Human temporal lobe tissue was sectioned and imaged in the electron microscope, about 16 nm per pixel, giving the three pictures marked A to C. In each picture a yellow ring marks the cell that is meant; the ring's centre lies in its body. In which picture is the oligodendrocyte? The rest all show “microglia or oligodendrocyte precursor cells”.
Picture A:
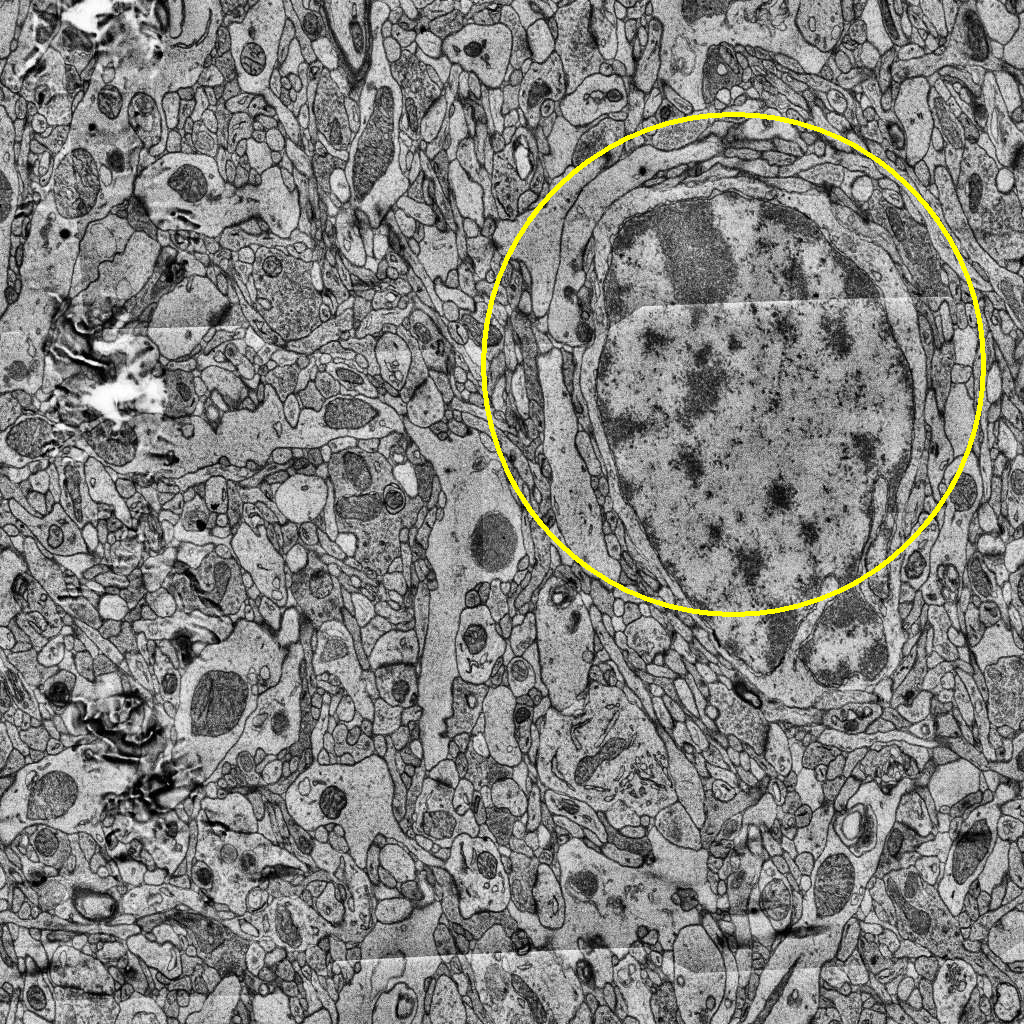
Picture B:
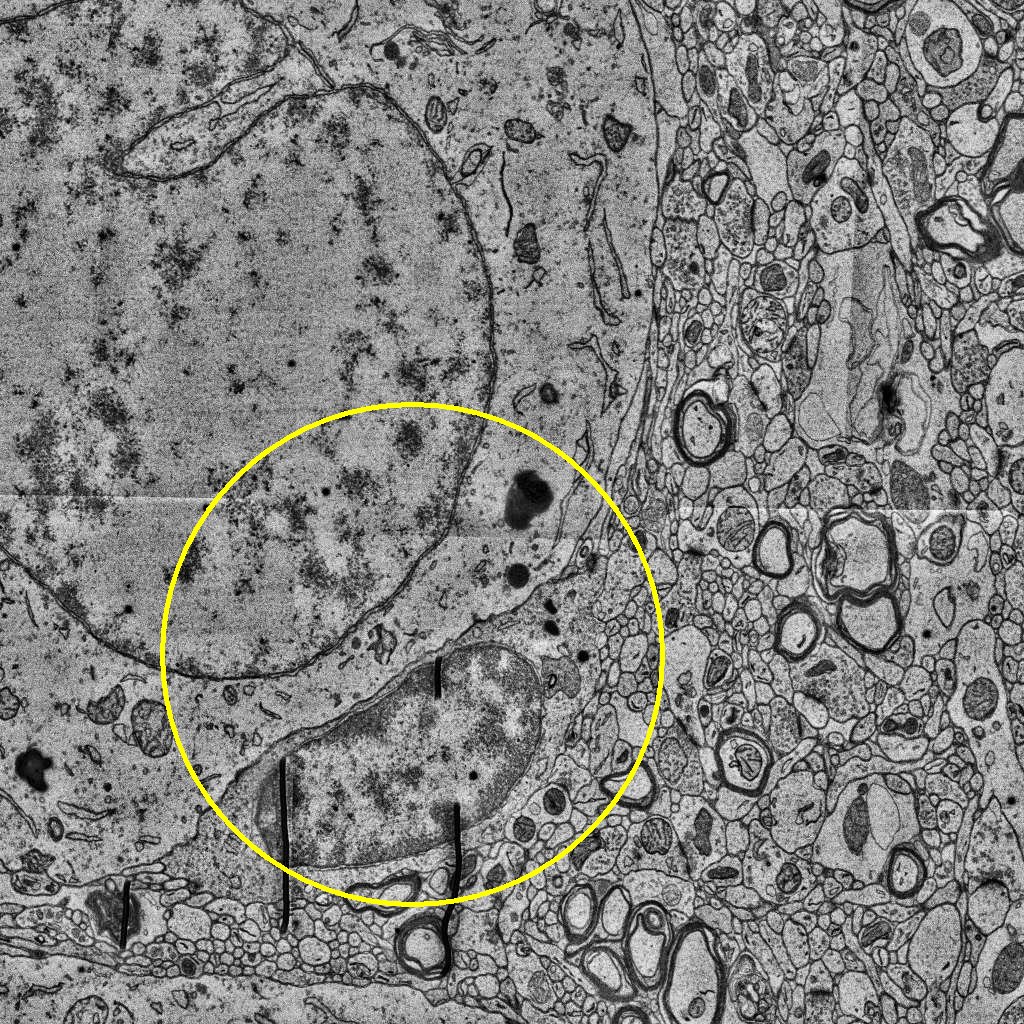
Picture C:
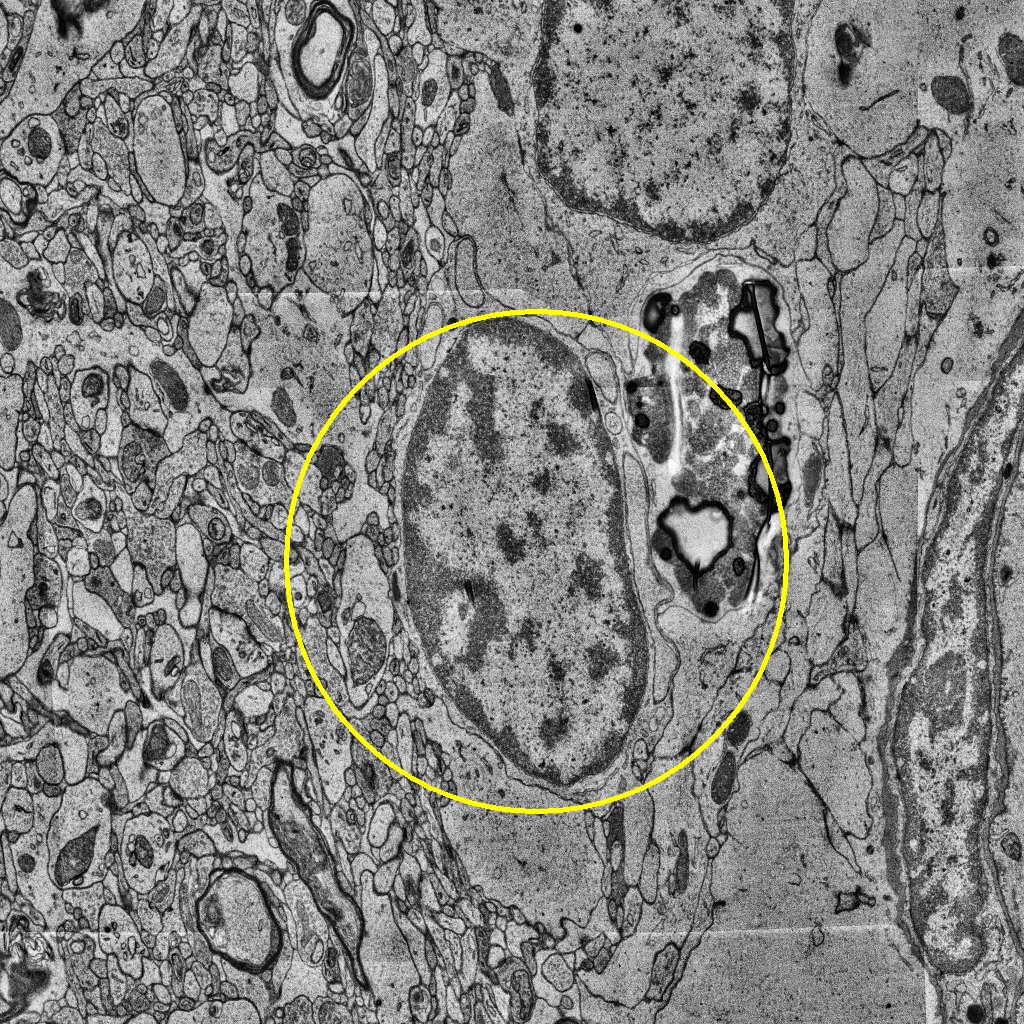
Picture B shows the oligodendrocyte.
